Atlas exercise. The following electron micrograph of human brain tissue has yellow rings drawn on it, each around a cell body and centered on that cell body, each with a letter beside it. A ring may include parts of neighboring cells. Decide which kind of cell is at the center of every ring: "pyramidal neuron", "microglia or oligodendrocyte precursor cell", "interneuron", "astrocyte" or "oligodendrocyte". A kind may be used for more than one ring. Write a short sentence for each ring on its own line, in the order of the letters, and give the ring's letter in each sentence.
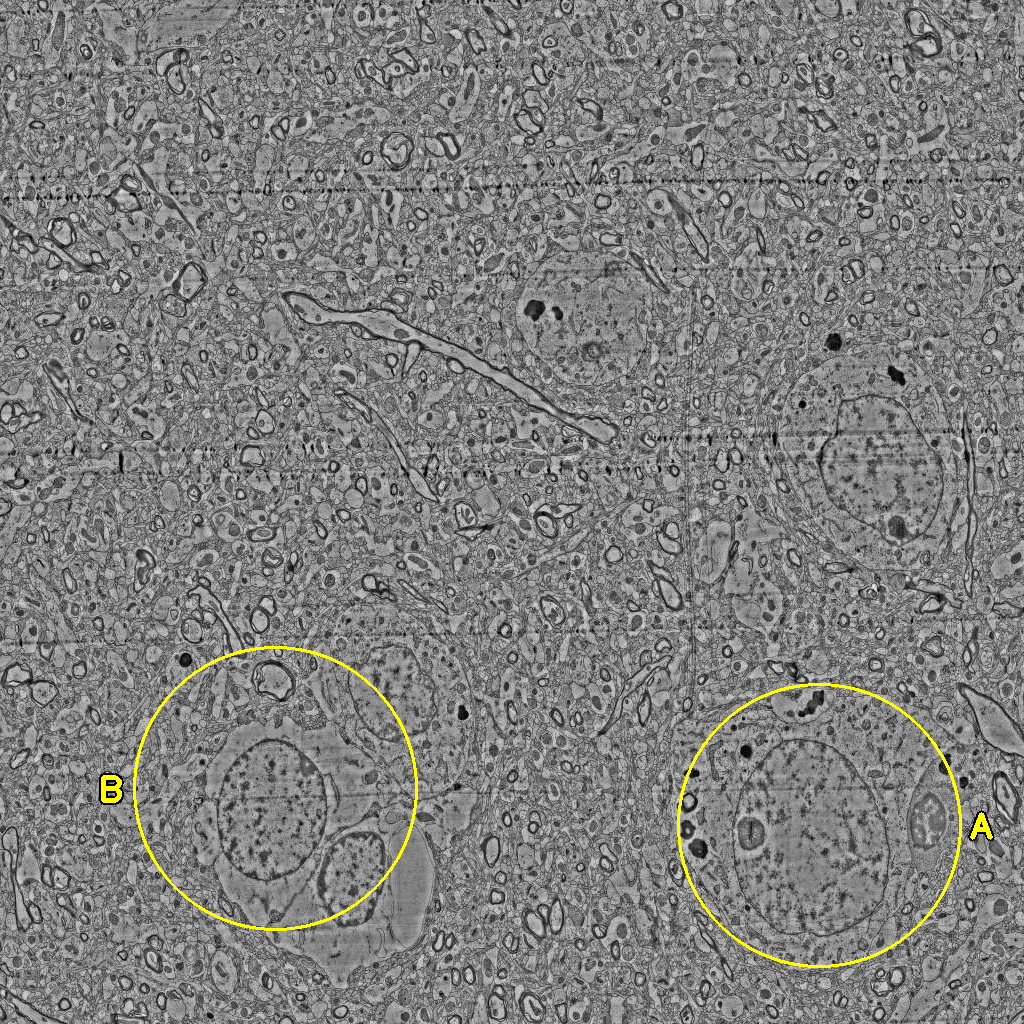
Ring A frames a pyramidal neuron at its center.
Ring B frames an astrocyte at its center.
